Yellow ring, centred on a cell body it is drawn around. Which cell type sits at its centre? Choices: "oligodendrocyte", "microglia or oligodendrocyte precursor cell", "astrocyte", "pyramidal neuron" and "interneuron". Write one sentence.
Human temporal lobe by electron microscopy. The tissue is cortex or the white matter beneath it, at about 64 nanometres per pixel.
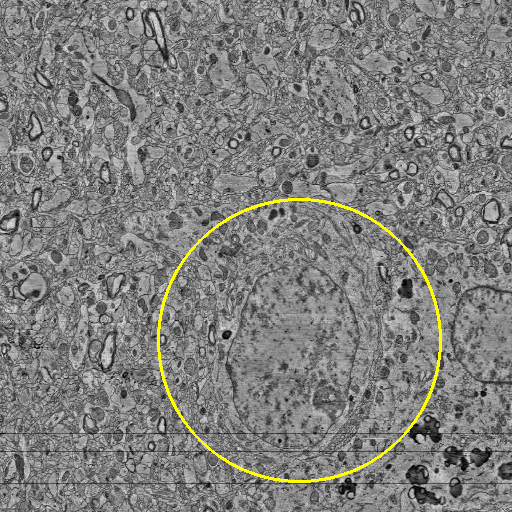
At the centre of the ring sits an interneuron.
